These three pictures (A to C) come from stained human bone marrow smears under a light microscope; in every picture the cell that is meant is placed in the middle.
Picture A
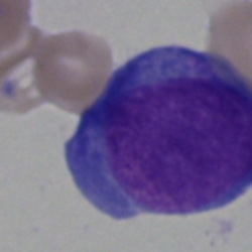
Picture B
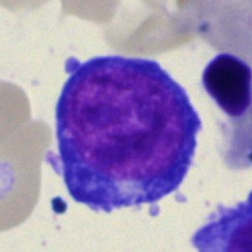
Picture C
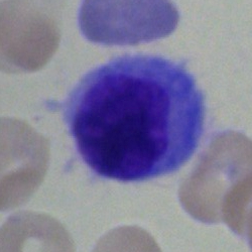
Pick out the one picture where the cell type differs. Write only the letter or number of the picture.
C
